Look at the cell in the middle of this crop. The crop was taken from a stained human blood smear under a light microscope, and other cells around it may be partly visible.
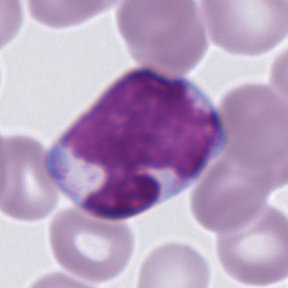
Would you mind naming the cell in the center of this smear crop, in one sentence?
What sits at the centre of this crop is a large granular lymphocyte.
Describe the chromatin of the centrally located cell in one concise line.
The nuclear chromatin is fine, showing no coarse aggregates.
